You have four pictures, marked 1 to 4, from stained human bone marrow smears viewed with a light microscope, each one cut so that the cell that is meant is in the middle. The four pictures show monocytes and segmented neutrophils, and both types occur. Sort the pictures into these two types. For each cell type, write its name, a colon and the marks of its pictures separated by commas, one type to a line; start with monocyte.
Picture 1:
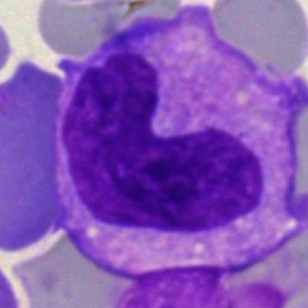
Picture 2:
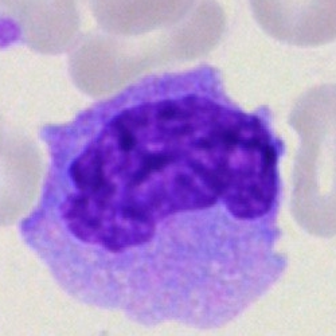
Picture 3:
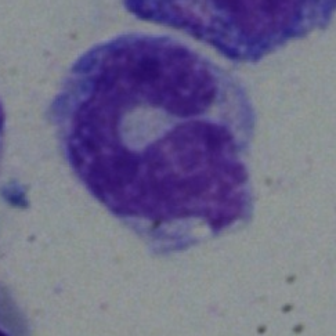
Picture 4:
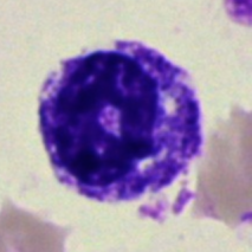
monocyte: 1, 2, 3
segmented neutrophil: 4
